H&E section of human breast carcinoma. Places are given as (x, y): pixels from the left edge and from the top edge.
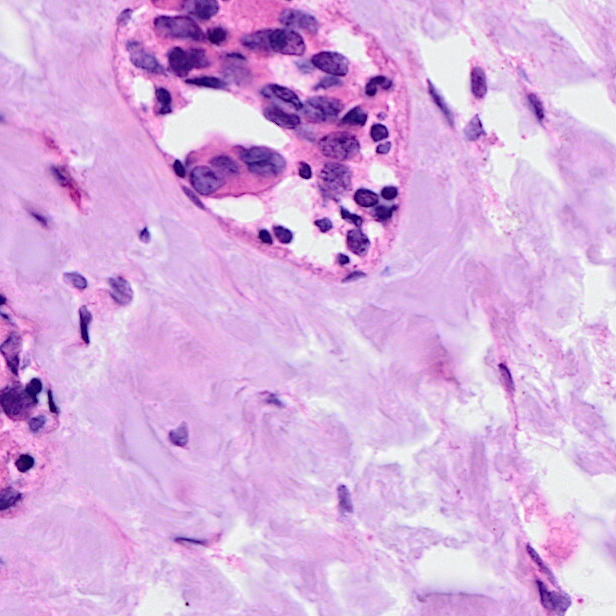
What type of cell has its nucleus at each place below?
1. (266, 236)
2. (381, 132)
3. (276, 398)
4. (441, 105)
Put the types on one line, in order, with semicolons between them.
lymphocyte; lymphocyte; fibroblast; fibroblast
